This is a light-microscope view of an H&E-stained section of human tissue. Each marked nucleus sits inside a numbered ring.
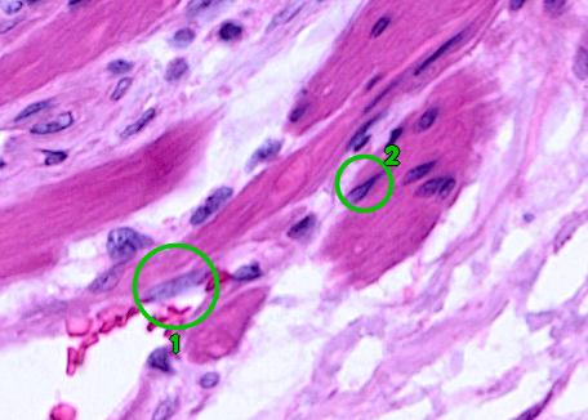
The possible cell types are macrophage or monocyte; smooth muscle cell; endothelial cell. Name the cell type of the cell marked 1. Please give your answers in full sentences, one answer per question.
The cell that carries the label 1 is an endothelial cell.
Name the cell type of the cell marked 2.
At number 2, the marked cell is a smooth muscle cell.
